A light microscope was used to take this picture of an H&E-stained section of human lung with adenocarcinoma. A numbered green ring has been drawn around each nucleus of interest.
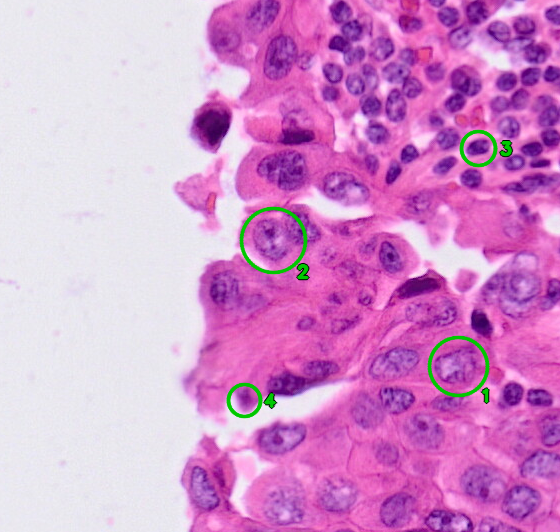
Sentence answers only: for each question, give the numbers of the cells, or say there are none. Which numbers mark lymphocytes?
Just one numbered cell is a lymphocyte, and that cell is number 3.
